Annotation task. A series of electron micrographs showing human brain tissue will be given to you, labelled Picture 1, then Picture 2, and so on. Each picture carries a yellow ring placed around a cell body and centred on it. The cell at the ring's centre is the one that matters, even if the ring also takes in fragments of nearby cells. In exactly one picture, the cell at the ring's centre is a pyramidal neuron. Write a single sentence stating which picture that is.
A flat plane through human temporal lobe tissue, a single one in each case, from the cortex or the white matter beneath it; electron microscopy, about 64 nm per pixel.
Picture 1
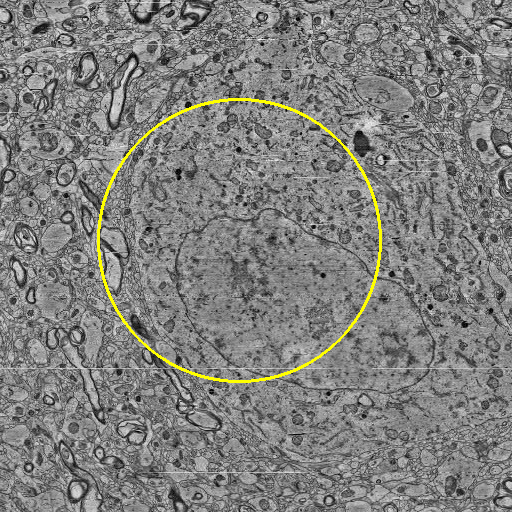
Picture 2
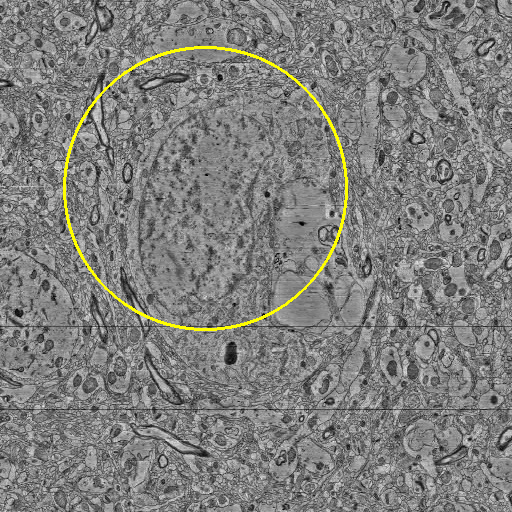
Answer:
Picture 1 holds the requested cell at the very centre of its ring.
